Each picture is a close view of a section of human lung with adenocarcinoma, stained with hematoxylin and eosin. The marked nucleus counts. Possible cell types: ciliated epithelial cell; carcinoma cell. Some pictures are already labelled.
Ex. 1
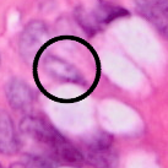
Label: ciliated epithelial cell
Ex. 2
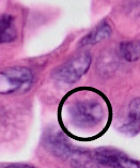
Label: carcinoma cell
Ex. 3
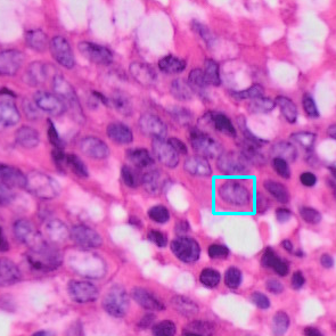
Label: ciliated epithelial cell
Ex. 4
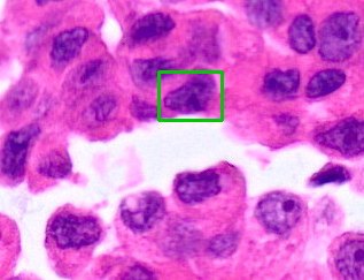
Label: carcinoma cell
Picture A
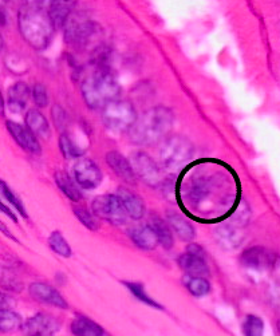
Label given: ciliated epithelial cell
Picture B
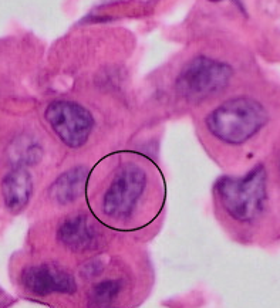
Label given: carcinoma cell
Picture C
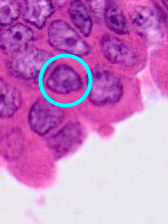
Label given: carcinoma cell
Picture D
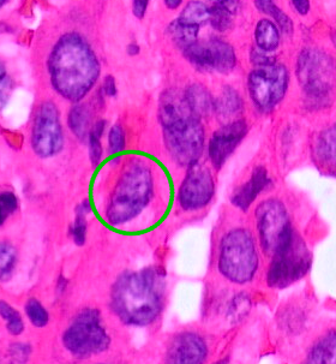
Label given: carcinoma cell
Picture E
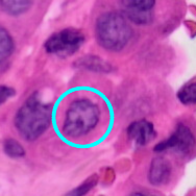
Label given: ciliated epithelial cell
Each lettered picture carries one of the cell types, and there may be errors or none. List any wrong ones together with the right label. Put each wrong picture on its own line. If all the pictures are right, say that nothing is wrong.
E should be carcinoma cell, not ciliated epithelial cell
